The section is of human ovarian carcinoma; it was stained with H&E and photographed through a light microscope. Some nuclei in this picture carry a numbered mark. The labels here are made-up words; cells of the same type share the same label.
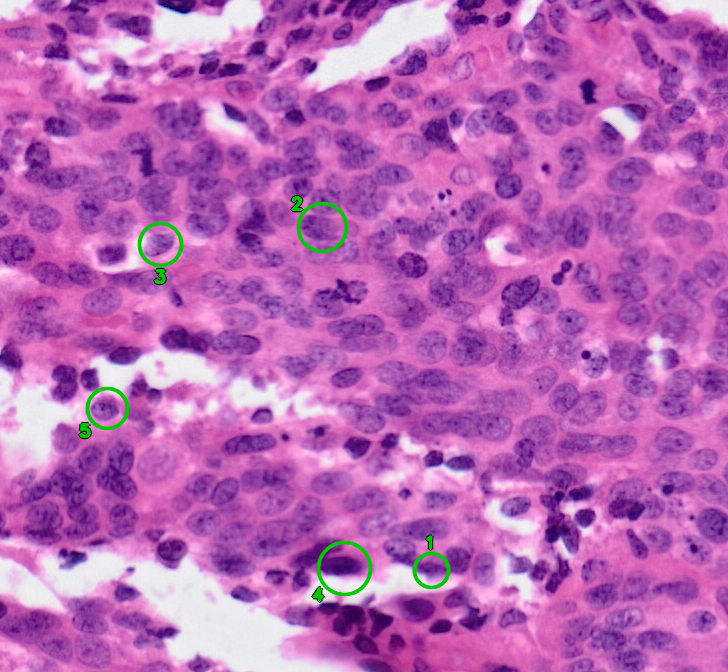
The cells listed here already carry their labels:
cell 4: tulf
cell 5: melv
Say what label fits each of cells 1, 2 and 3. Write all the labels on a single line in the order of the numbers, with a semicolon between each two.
tulf; tulf; melv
